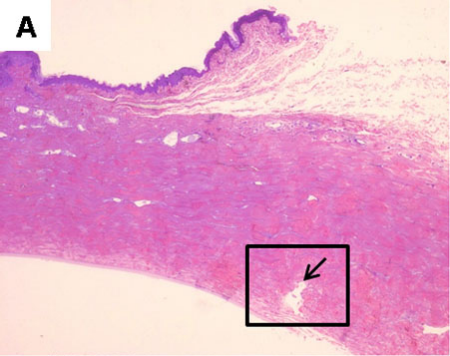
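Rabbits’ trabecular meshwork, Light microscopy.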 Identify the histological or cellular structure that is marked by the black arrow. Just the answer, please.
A: Schlemm’s canal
